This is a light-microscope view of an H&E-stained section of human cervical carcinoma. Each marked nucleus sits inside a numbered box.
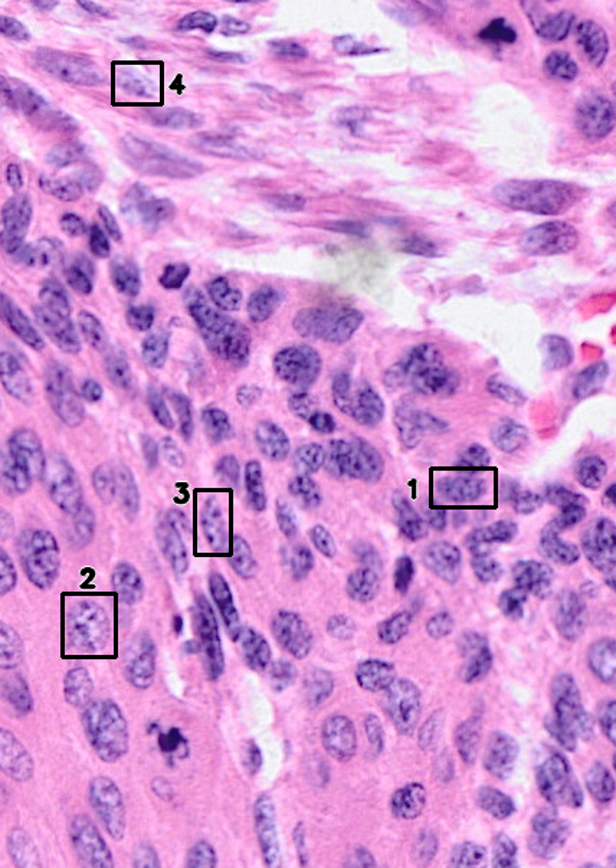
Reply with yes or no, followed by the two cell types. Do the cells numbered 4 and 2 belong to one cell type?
No, cell 4 is a fibroblast, and cell 2, for its part, is a squamous carcinoma cell.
